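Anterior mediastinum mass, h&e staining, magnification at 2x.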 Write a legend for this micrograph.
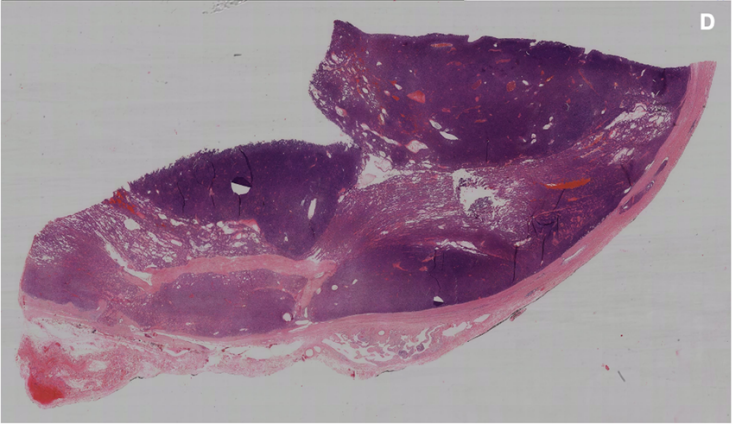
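At low power this lesion is made of dense, deeply purple cellular tissue divided into several large nodules. Broad pale pink fibrous bands run between the nodules. A continuous pink fibrous capsule wraps the outer edge, and the cellular tissue does not cross it. Small red vessels are scattered within the nodules.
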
